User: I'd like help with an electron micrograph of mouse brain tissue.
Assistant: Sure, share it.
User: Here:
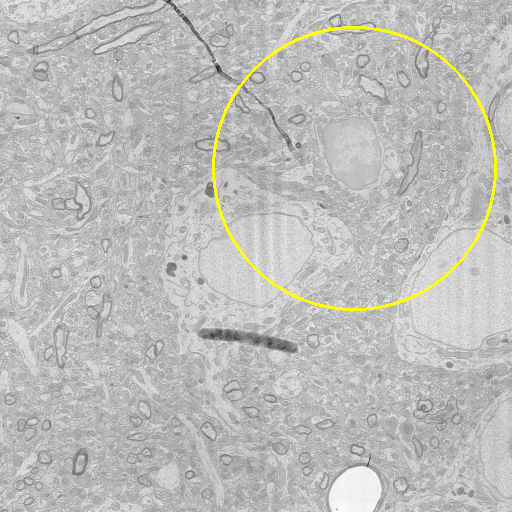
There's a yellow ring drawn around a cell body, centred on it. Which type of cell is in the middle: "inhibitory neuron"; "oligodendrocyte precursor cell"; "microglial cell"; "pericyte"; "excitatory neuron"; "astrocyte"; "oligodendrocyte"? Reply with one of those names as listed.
microglial cell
